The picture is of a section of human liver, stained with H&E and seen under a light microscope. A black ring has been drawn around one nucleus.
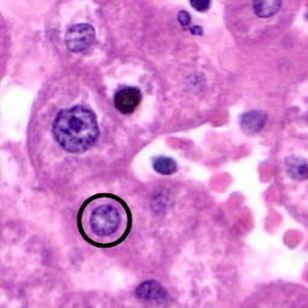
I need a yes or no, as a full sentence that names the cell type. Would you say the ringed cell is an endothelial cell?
No, mark the ringed cell as a hepatocyte, not as an endothelial cell.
